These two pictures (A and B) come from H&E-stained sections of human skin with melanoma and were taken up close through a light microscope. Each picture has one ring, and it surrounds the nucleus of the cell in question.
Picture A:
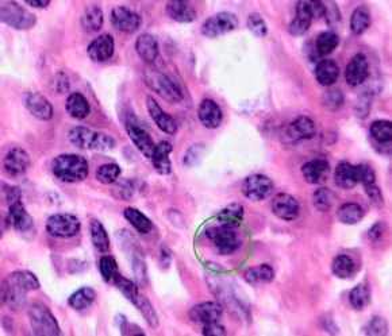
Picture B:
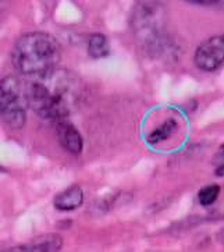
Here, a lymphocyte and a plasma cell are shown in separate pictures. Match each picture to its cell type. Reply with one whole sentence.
Picture A is of a plasma cell, and picture B is of a lymphocyte.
